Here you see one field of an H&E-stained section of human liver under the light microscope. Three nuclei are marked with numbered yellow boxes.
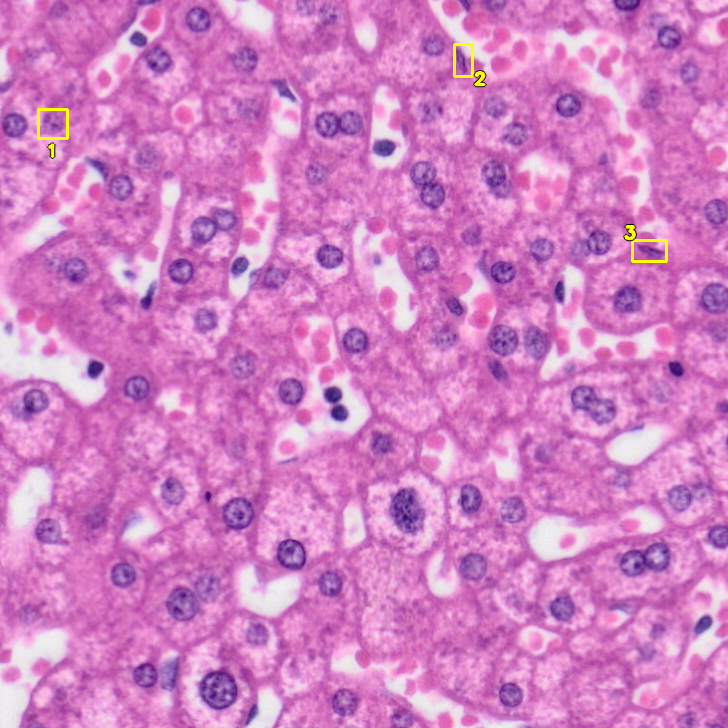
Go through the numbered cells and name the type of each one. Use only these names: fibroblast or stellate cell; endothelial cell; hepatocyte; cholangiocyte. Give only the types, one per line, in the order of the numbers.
hepatocyte
endothelial cell
endothelial cell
